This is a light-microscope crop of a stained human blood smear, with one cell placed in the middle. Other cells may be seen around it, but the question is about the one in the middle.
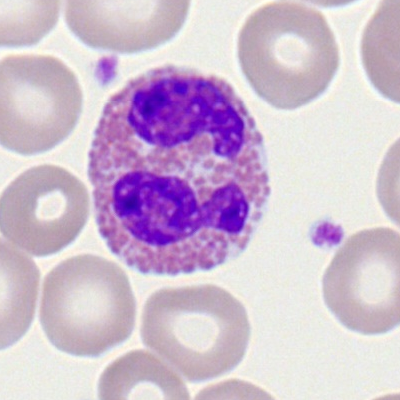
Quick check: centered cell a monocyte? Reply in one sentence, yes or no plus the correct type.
No, the central cell in this crop is an eosinophil and not a monocyte.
